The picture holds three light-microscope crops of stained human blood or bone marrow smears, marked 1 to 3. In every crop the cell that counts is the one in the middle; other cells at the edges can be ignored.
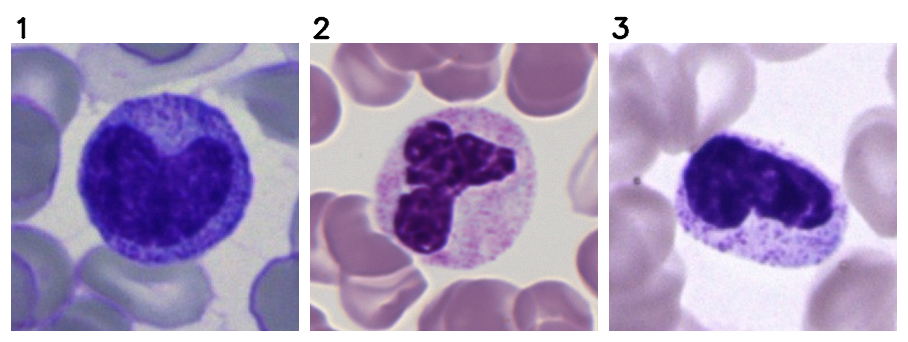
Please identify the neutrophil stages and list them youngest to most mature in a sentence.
The least to most mature ordering of the crops is crop 1 (a metamyelocyte), crop 3 (a band neutrophil) and crop 2 (a segmented neutrophil).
